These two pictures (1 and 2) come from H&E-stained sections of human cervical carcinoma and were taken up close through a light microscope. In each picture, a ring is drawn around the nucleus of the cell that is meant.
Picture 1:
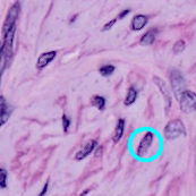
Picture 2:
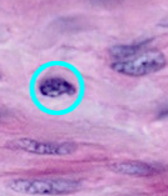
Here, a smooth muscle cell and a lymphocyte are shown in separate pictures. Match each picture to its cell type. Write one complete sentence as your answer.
Picture 1 is of a smooth muscle cell, and picture 2 is of a lymphocyte.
